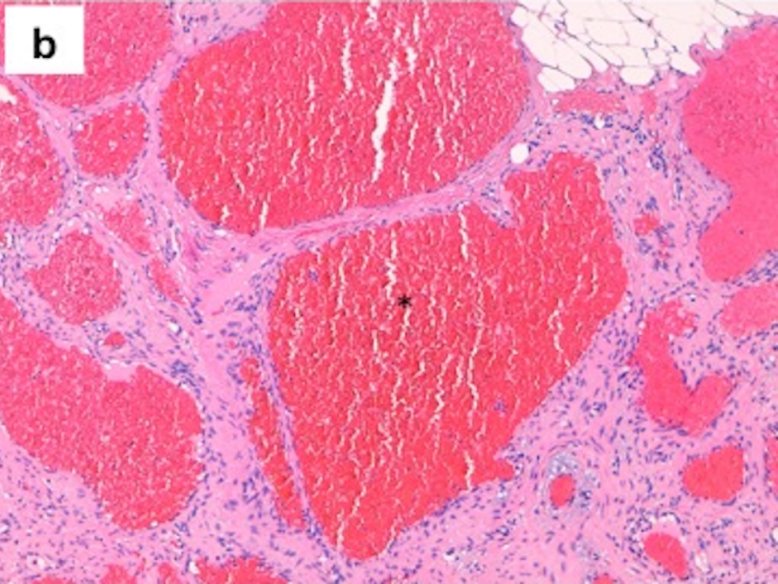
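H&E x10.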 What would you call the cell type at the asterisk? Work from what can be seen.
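The asterisk lies in a large space packed with bright red material. The red material fills the lumen completely and has small cracks.
Answer: red blood cells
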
